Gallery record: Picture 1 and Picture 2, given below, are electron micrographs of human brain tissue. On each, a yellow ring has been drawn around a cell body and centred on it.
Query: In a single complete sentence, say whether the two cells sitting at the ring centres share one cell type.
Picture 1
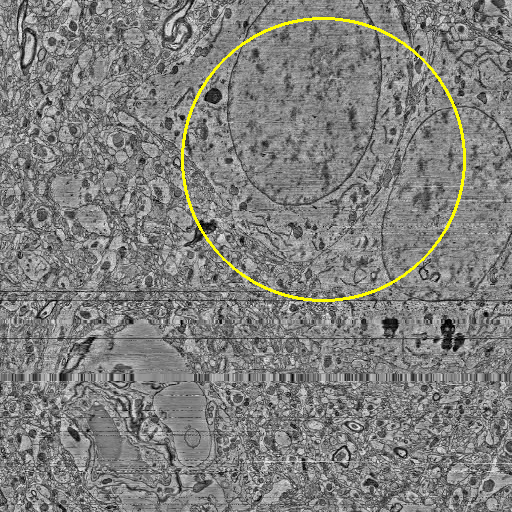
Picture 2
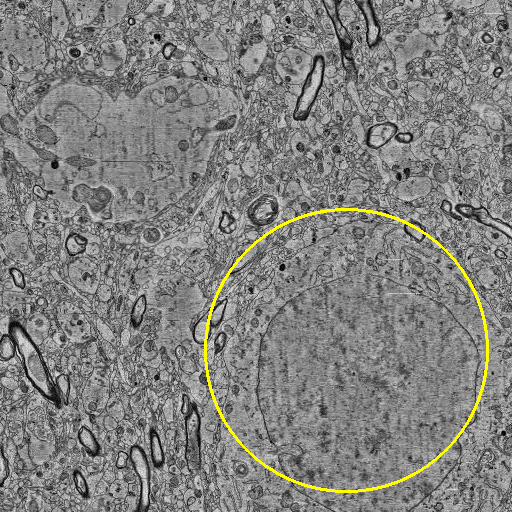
Yes, in both pictures the cell at the ring's centre is of one and the same type.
